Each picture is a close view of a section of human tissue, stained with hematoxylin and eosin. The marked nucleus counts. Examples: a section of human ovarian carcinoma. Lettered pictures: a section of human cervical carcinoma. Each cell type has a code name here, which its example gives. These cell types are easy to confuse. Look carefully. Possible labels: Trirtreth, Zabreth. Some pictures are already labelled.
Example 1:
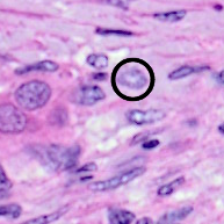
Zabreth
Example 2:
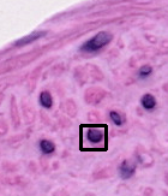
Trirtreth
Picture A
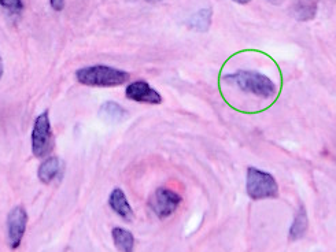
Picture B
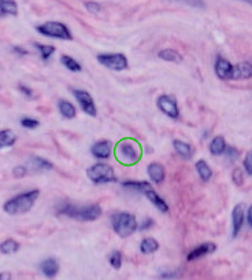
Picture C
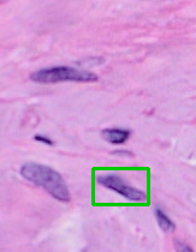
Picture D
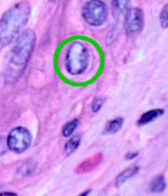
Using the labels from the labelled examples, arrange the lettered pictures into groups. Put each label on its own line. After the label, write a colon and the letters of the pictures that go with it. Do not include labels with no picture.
Trirtreth: B, D
Zabreth: A, C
